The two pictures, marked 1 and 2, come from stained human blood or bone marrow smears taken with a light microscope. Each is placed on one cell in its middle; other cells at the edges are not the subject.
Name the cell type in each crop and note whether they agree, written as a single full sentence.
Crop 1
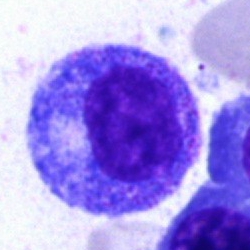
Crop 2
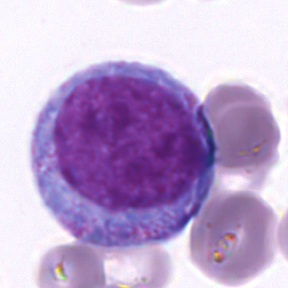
Yes, in both crops the centred cells are promyelocytes.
